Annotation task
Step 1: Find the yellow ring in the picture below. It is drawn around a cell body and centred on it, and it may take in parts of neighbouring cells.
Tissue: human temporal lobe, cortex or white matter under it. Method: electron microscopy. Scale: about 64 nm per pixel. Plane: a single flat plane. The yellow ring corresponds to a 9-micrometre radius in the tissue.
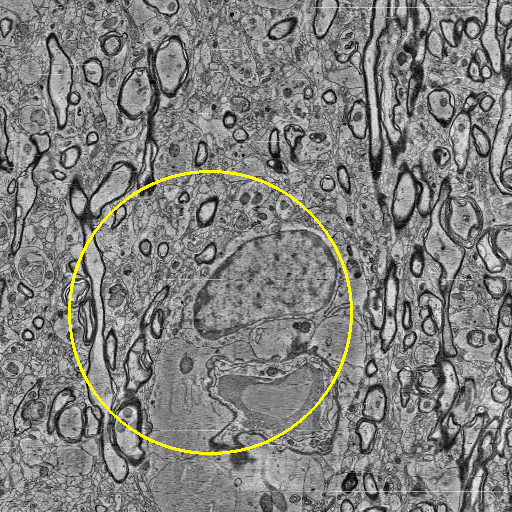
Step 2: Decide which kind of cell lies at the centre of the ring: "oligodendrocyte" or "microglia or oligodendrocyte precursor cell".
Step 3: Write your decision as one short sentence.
The kind of cell at the ring's centre is a microglial cell or oligodendrocyte precursor cell.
